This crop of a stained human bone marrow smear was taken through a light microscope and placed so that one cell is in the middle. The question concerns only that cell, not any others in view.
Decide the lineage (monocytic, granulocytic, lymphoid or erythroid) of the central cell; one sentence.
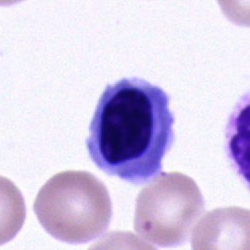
The cell occupying the center of the frame is part of the erythroid lineage.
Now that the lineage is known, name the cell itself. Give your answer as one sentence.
In the middle of this smear crop, the cell is an erythroblast.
